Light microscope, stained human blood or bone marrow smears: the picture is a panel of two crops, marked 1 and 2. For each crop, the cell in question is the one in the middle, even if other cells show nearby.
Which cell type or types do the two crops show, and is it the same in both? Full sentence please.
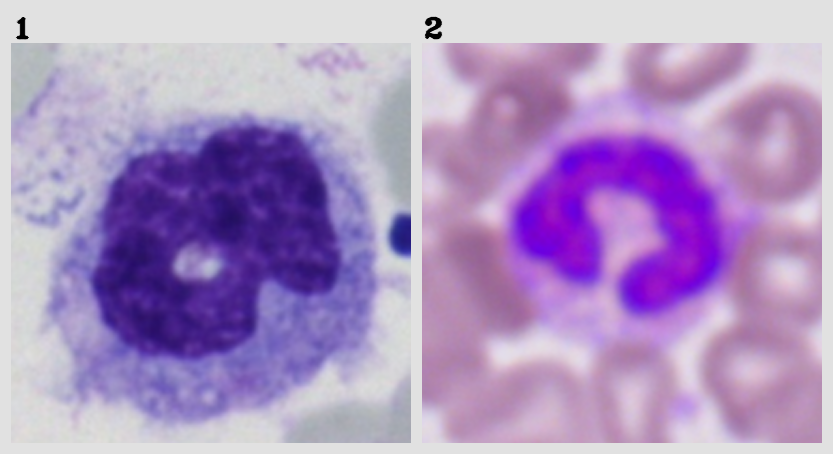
No, the assignment should read crop 1, a monocyte; crop 2, a band neutrophil.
